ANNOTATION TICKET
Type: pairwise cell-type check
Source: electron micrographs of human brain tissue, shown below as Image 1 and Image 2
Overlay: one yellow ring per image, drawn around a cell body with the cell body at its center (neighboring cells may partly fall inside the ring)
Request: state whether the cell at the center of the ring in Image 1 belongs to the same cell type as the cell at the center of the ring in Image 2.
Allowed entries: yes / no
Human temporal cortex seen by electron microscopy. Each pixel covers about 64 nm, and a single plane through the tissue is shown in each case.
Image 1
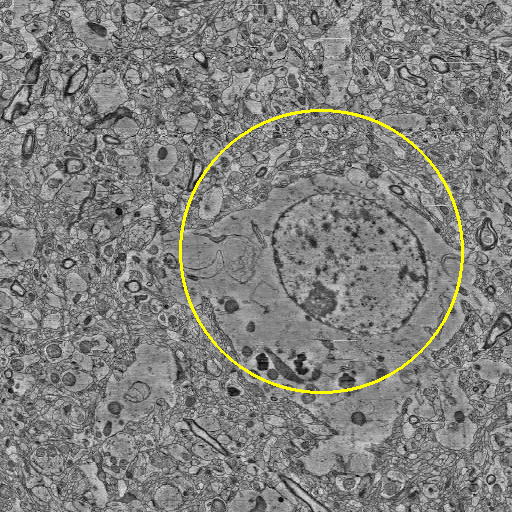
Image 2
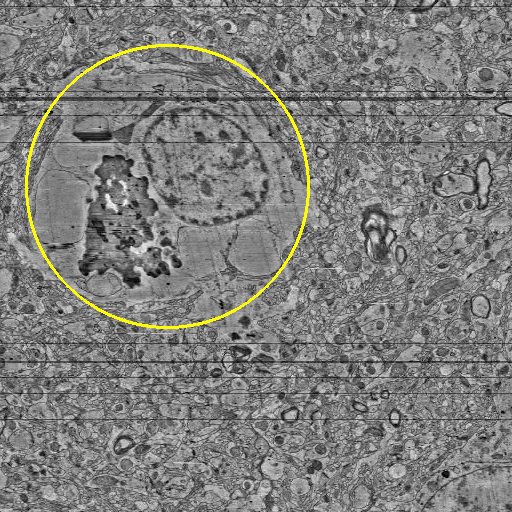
yes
